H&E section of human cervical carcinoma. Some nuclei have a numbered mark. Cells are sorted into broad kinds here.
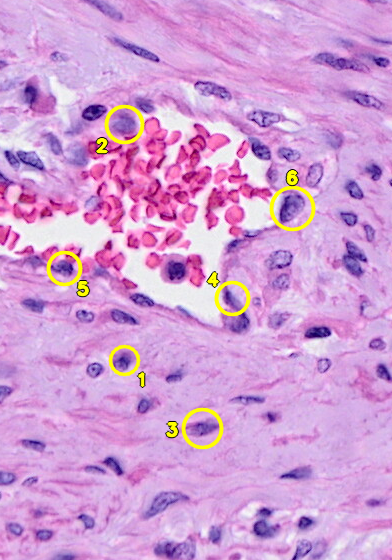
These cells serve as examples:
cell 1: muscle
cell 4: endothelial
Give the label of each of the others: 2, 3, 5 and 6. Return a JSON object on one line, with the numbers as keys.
{"2": "endothelial", "3": "muscle", "5": "endothelial", "6": "endothelial"}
